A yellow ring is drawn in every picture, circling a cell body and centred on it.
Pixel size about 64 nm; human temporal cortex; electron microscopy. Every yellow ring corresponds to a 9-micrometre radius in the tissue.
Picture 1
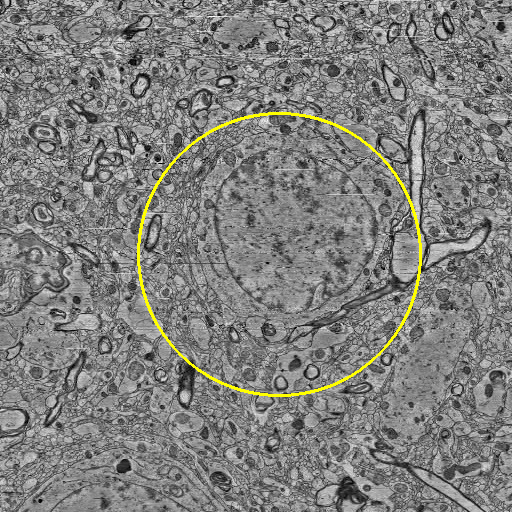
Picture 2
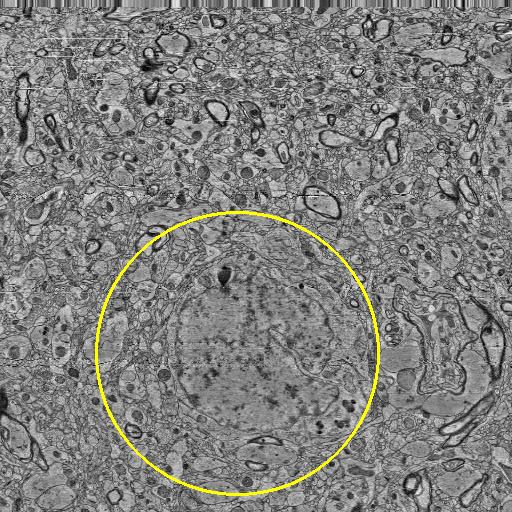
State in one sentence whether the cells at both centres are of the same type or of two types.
The cells at the two ring centres, one per picture, are of the same type.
